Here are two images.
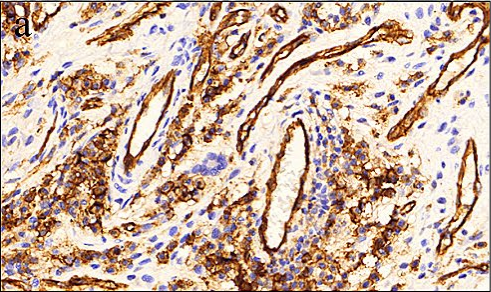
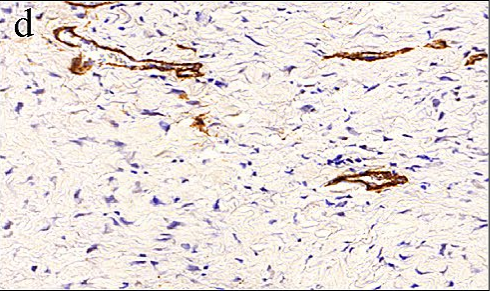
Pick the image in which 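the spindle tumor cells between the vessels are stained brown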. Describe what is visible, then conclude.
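The first image. Second image: only thin vessel walls are brown; the scattered spindle cells in the stroma have blue nuclei and no brown stain. First image: besides the vessel walls, many cells in the stroma between the vessels are stained brown.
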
